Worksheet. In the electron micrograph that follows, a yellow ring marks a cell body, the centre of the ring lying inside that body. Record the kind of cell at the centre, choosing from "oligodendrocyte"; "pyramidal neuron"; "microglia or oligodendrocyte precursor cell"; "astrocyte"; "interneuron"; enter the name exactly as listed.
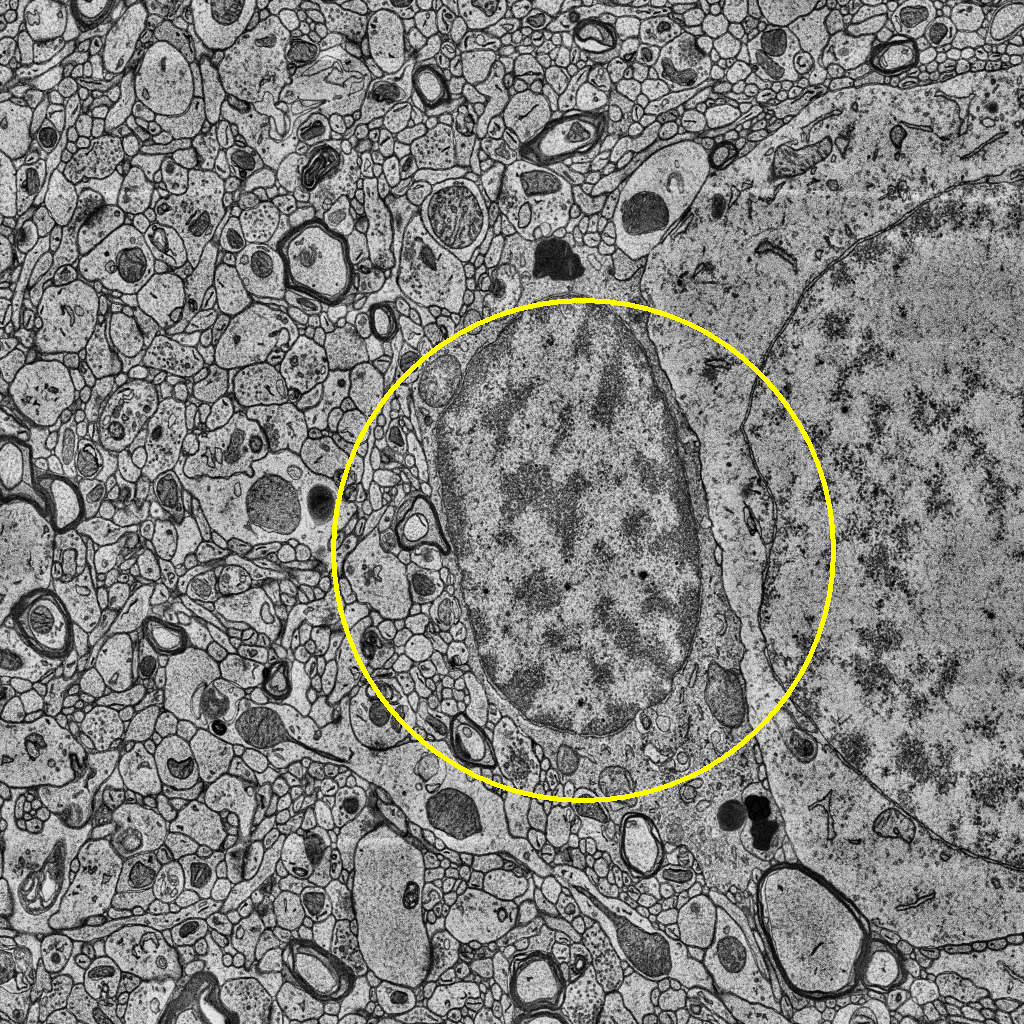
oligodendrocyte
